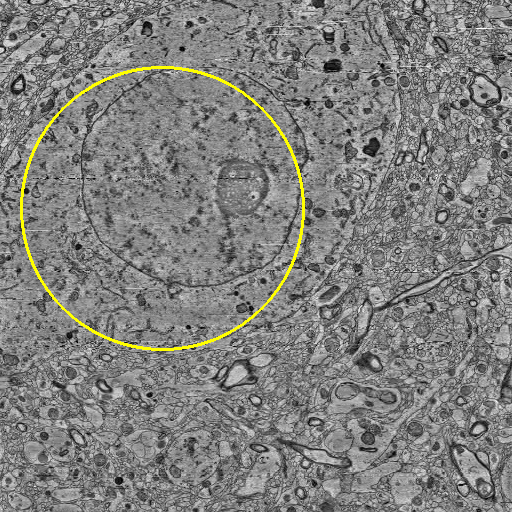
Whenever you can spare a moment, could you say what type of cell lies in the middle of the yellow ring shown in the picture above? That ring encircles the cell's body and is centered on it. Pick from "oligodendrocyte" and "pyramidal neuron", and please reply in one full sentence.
The cell whose body sits at the middle of the yellow ring is a pyramidal neuron.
